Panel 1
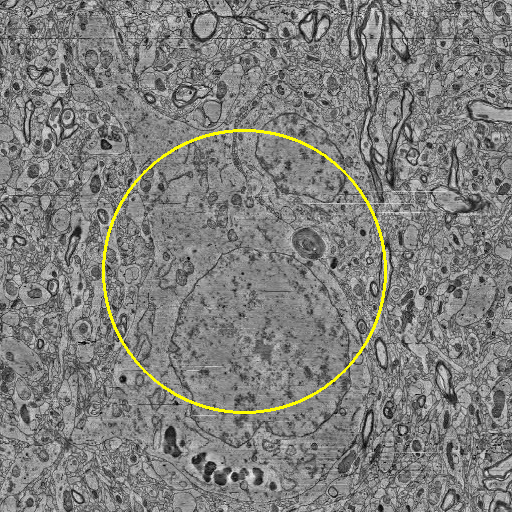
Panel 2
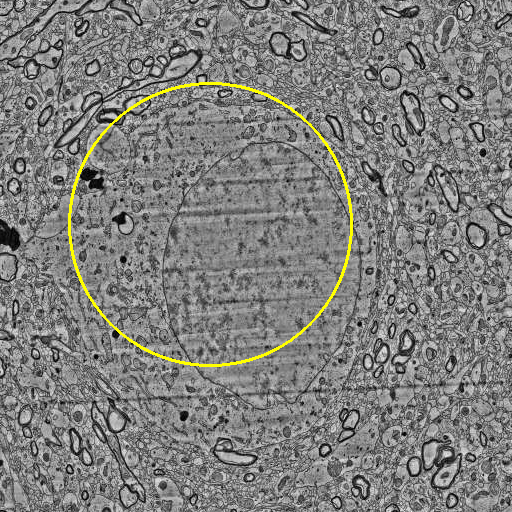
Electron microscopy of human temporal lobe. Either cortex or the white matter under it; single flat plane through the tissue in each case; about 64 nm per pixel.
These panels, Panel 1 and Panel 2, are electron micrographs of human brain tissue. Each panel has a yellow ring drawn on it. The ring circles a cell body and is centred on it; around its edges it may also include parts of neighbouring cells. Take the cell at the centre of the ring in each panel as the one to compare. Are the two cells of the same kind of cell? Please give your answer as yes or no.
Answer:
yes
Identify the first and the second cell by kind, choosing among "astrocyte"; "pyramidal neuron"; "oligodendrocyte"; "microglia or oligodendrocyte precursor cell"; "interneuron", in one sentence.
Each of the two cells is a pyramidal neuron.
